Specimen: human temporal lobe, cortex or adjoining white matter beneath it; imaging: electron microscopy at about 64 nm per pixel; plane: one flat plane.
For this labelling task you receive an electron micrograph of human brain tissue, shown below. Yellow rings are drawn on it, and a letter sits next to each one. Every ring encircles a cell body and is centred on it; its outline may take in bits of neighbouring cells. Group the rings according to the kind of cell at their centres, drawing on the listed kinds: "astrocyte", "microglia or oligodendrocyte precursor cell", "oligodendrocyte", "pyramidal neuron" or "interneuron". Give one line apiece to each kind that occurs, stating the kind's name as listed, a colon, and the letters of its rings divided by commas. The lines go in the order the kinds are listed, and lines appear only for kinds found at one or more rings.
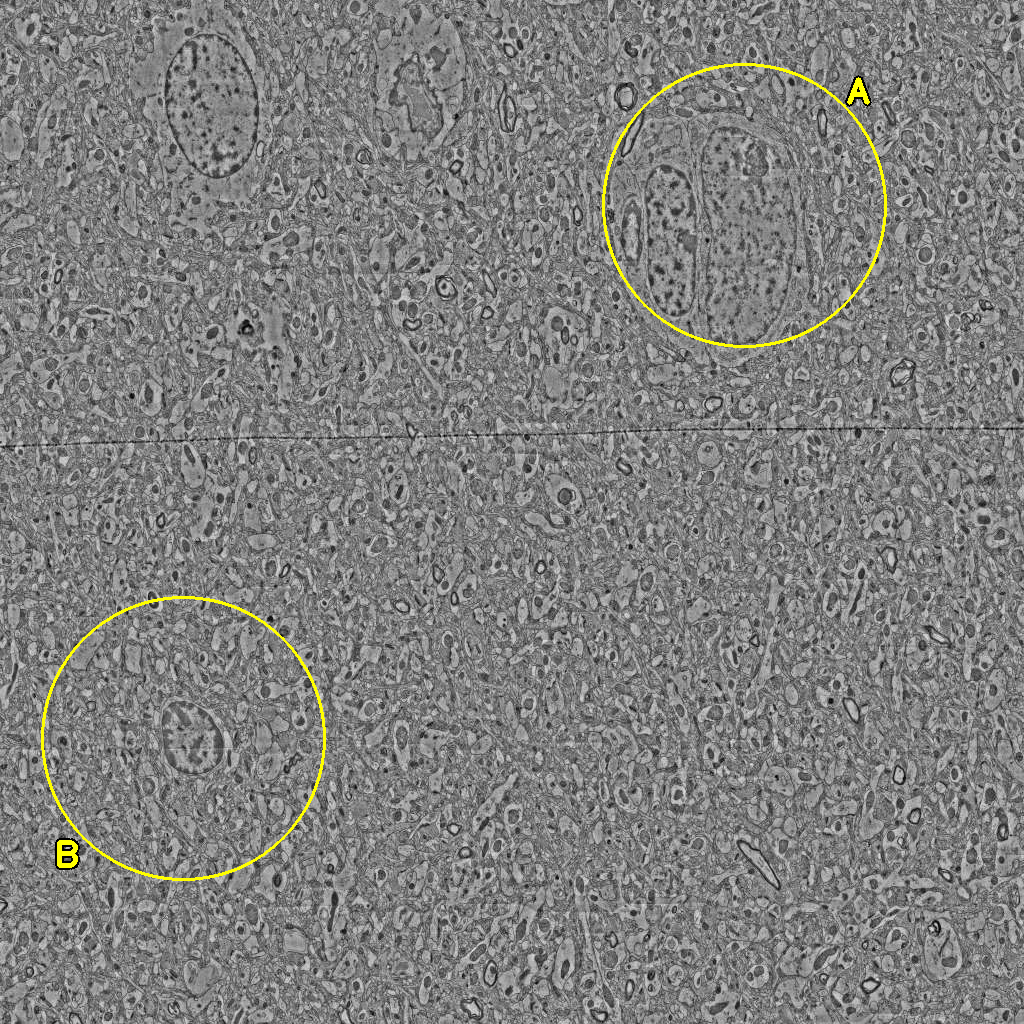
microglia or oligodendrocyte precursor cell: B
interneuron: A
